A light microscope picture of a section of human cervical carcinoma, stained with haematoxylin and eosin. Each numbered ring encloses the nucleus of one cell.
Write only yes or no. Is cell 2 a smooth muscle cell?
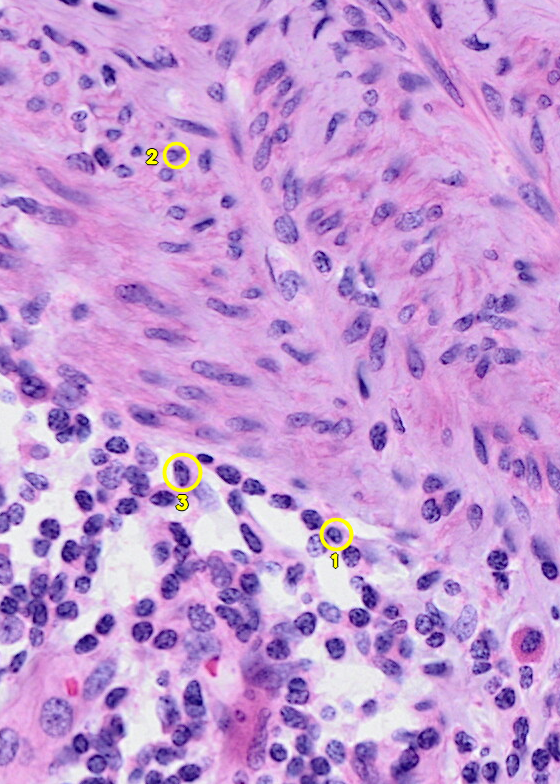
yes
